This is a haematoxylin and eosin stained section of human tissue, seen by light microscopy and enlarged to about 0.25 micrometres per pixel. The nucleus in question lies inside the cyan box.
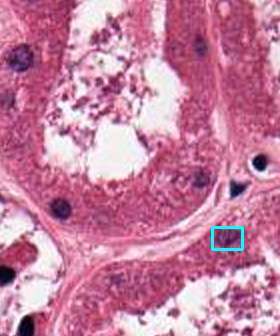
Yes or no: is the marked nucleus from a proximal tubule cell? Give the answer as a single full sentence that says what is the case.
Yes, a proximal tubule cell is the cell to which the marked nucleus belongs.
